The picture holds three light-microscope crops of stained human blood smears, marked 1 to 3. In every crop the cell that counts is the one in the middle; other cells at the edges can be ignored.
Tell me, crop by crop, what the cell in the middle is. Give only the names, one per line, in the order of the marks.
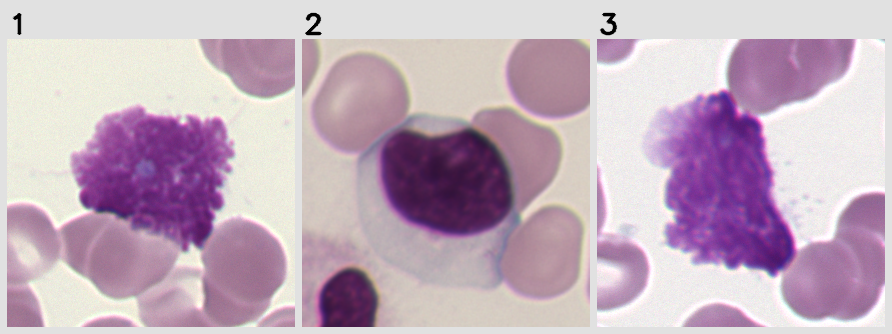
smudge cell
typical lymphocyte
smudge cell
